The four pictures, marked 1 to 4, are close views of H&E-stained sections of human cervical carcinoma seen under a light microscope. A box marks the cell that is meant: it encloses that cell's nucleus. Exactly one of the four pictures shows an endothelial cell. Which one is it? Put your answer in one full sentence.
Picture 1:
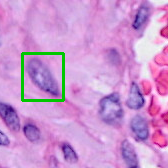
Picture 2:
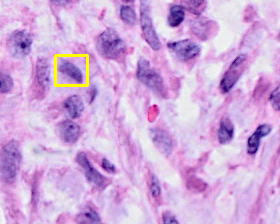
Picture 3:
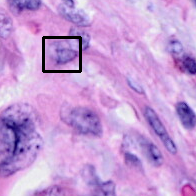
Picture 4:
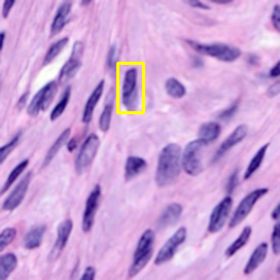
Picture 3 is the one that shows the endothelial cell.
